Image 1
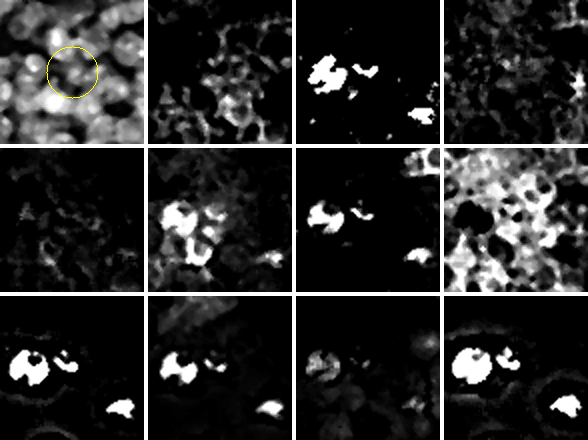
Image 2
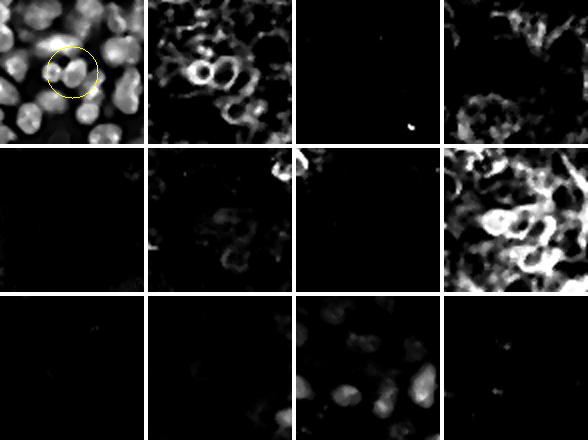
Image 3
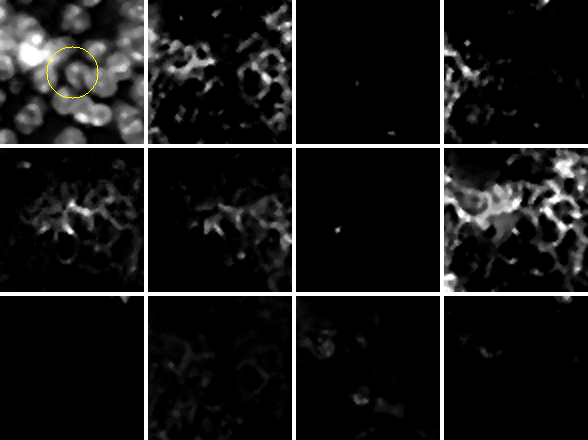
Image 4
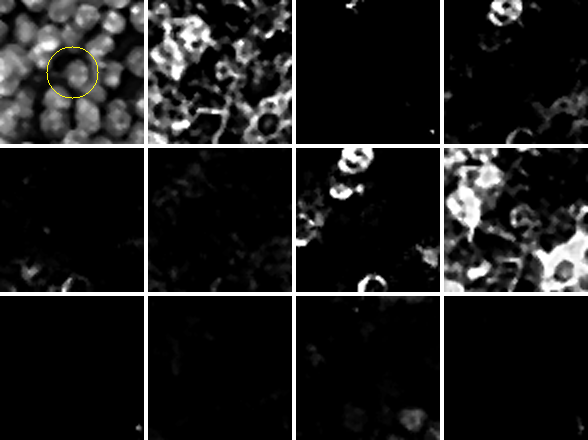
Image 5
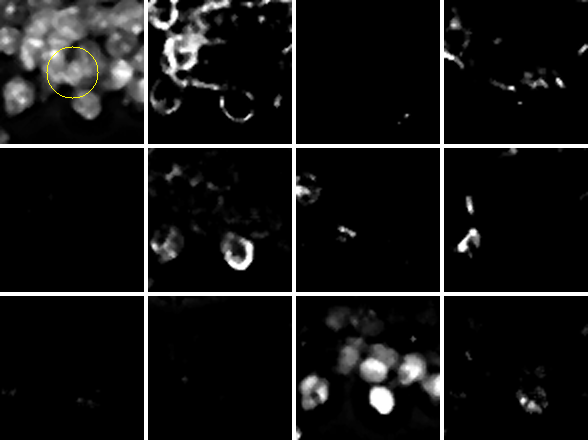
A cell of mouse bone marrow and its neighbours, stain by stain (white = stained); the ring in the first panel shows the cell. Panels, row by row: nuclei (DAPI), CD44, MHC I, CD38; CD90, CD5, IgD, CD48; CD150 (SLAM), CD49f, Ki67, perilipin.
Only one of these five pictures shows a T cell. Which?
Picture 3.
